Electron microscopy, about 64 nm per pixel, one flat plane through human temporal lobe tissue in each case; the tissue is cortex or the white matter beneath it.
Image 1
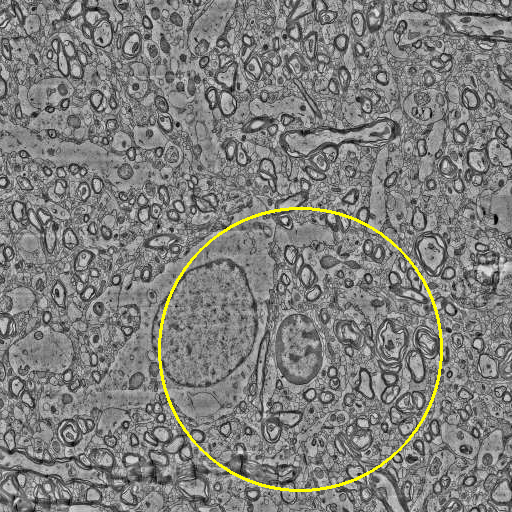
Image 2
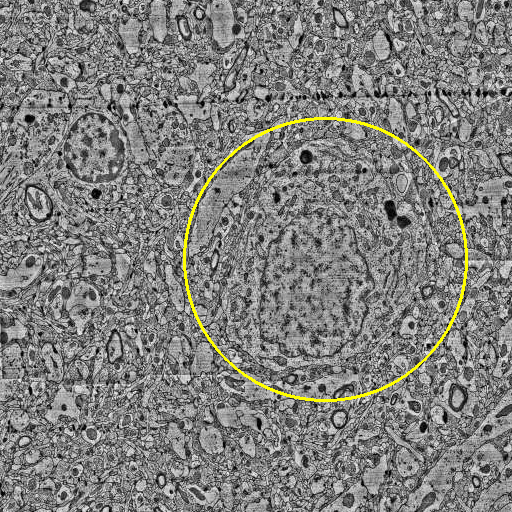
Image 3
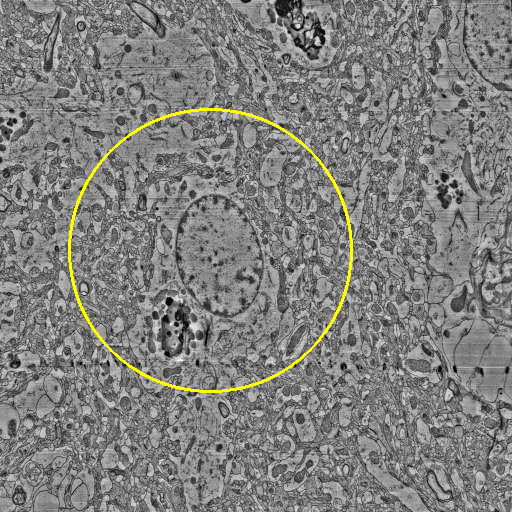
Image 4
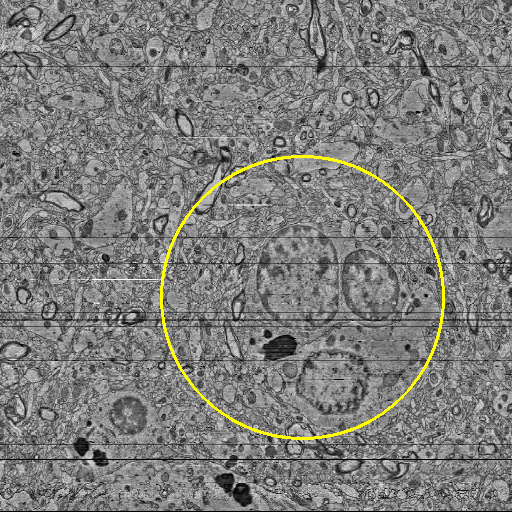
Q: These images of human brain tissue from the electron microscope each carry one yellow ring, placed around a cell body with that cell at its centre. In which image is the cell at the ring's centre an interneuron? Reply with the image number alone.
2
